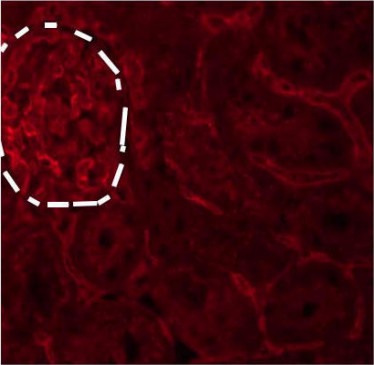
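This is kidney cortex with a glomerulus, its capillary tuft outlined by a dashed line at the left, and the surrounding tubules with peritubular capillaries. The glomerulus appears as a round body filled with many small looping red-outlined capillary profiles. Around it lie larger round and oval tubule cross-sections whose interiors are dark. Thin red lines and rings run in the narrow spaces between the tubules, tracing the peritubular capillary network.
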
